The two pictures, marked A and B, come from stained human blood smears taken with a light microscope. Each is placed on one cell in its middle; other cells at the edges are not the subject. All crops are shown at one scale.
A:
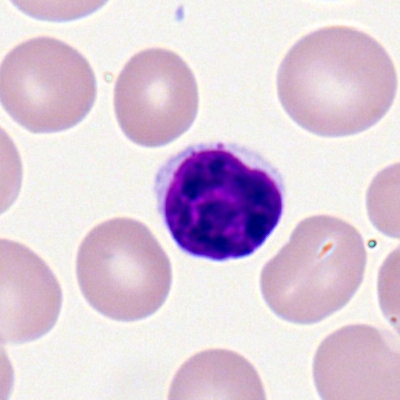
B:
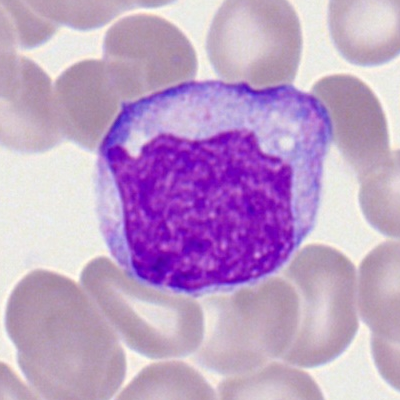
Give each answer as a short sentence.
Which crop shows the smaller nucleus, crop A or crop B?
Crop A shows the smaller nucleus, since that in crop B covers about 2.5 times as much area.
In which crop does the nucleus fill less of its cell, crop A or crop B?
Of the two, the nucleus in crop B leaves more room for cytoplasm.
